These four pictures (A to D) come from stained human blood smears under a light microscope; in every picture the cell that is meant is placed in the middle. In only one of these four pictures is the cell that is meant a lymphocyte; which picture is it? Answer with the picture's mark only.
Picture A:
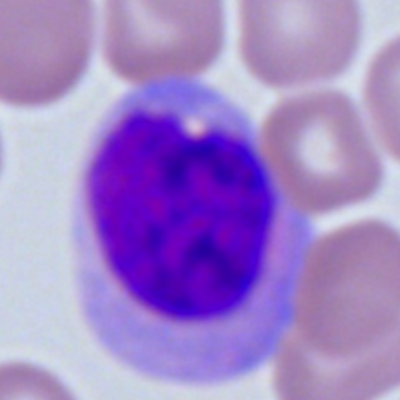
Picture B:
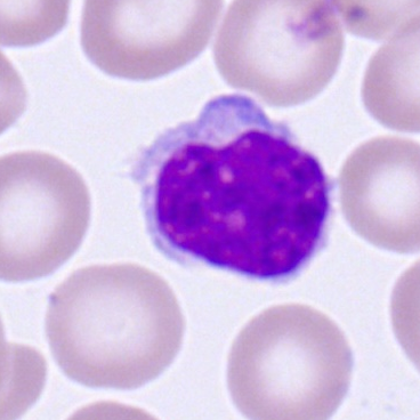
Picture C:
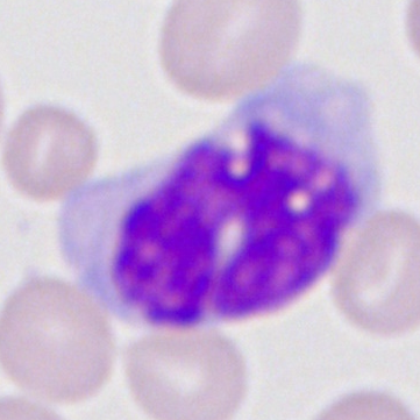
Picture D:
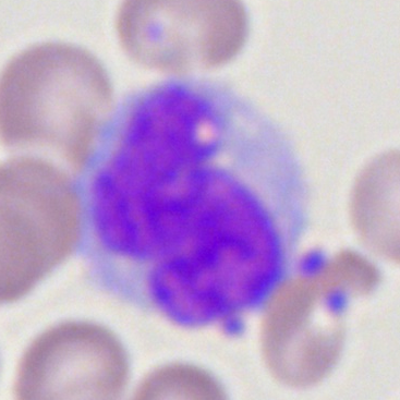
B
